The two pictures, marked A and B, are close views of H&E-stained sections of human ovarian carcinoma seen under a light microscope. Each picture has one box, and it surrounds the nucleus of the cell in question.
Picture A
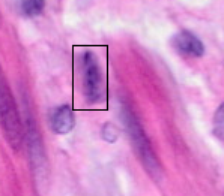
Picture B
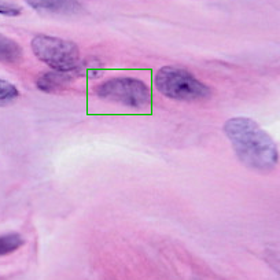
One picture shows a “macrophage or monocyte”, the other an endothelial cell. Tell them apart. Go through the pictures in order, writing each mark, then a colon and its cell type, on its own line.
A: macrophage or monocyte
B: endothelial cell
